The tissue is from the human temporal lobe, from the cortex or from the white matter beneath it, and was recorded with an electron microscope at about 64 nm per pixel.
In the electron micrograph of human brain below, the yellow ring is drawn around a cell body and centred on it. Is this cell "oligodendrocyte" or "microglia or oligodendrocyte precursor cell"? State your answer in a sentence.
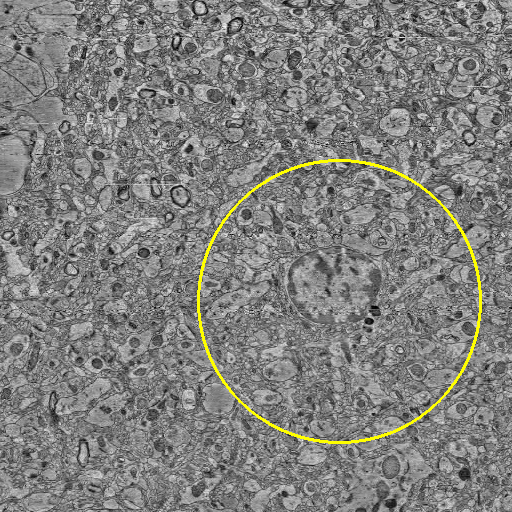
The cell in the middle of the ring is a microglial cell or oligodendrocyte precursor cell.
